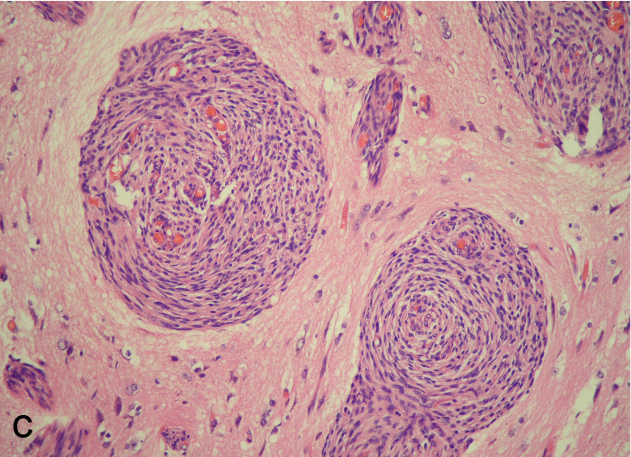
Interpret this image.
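Pale pink brain parenchyma containing round nests of spindle cells arranged in concentric whorls around small blood vessels holding red blood cells. The spindle cells have bland elongated nuclei and elongated cytoplasm, and scattered glial nuclei lie in the surrounding tissue.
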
